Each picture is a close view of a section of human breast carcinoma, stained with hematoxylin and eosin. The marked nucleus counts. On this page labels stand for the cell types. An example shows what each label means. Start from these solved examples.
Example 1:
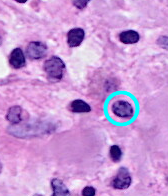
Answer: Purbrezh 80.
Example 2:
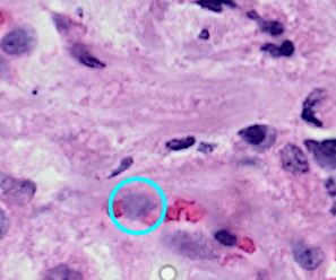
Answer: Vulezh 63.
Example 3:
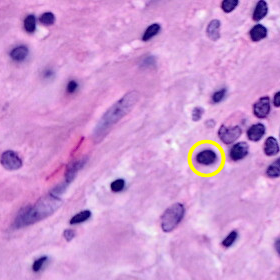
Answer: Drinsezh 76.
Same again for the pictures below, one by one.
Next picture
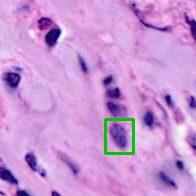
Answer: Purbrezh 80.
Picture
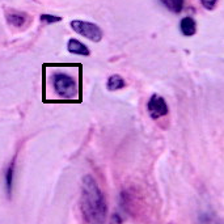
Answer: Purbrezh 80.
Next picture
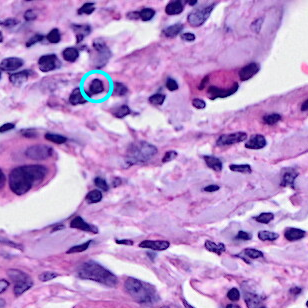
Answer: Drinsezh 76.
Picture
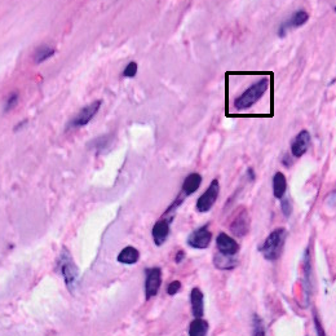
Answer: Purbrezh 80.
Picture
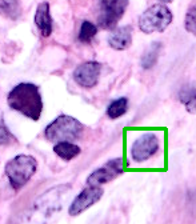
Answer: Drinsezh 76.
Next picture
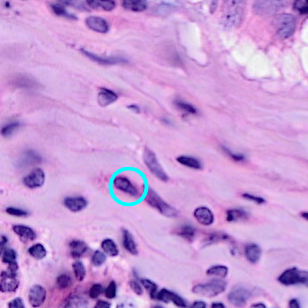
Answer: Purbrezh 80.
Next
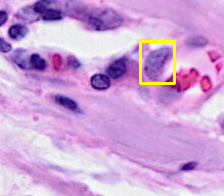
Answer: Vulezh 63.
